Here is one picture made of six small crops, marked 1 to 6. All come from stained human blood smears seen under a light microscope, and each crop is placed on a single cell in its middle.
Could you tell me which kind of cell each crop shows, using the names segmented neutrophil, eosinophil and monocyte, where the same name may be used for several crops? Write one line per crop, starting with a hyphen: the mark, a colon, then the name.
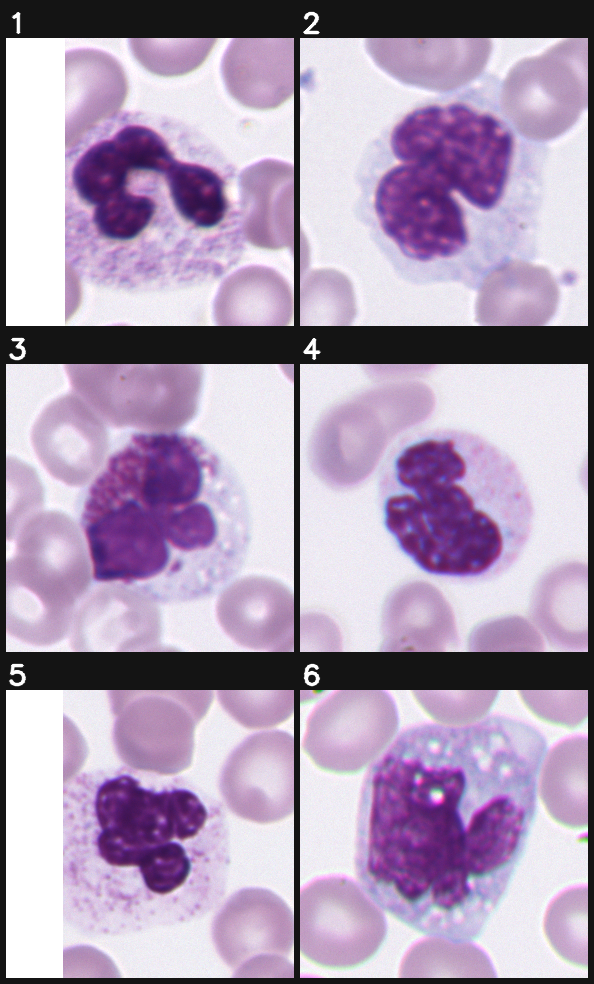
- 1: segmented neutrophil
- 2: monocyte
- 3: eosinophil
- 4: segmented neutrophil
- 5: segmented neutrophil
- 6: monocyte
